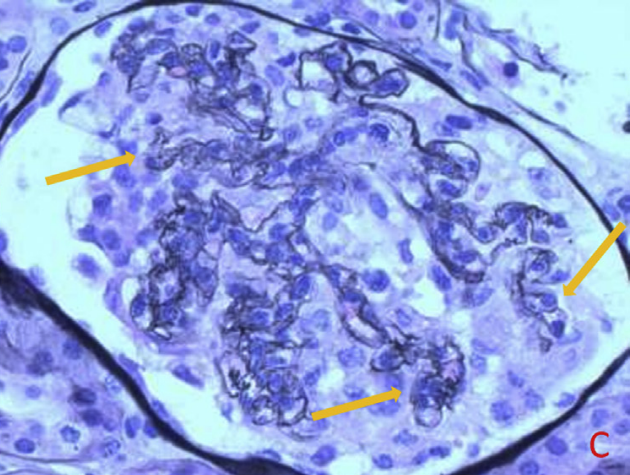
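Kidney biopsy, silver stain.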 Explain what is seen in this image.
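The black loops are wrinkled, crumpled and narrowed all across the tuft, with few open lumens left. Over the shrunken loops lies a crowd of pale cells with round blue nuclei, heaped within the space inside the capsule. This is global collapse of the glomerular capillary loops with podocyte hyperplasia over them.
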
